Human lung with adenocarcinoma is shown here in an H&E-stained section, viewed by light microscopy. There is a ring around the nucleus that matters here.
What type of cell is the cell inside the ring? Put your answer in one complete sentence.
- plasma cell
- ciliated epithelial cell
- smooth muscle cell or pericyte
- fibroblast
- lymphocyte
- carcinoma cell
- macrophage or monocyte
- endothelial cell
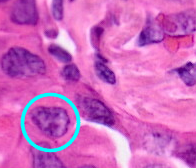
In this field of tissue, the cell inside the ring is a carcinoma cell.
